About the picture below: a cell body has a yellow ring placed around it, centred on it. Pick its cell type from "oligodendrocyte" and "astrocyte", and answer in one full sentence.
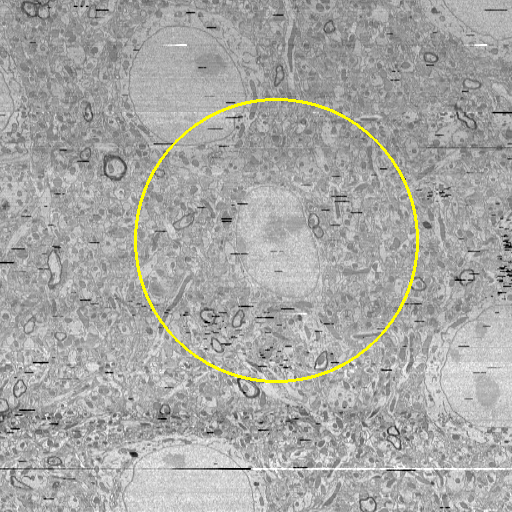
In the picture, an astrocyte is the cell sitting at the centre of the yellow ring.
